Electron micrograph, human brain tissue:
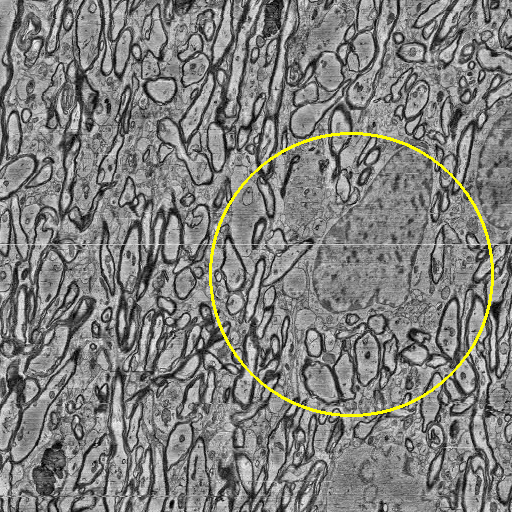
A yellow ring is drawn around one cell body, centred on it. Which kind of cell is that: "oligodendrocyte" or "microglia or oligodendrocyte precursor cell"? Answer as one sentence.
It is a microglial cell or oligodendrocyte precursor cell at the centre of the ring.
